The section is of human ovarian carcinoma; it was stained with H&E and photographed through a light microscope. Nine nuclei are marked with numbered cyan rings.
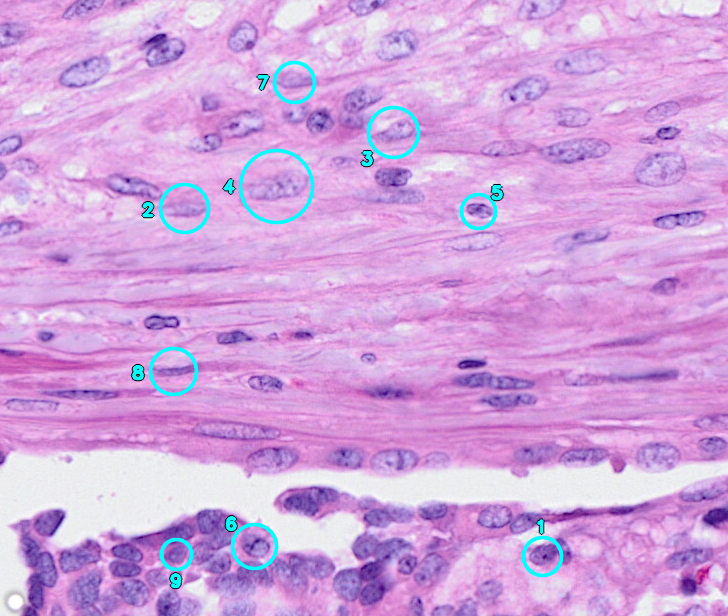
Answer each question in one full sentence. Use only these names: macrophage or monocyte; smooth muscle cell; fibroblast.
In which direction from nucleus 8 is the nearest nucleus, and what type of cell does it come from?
Lying above nucleus 8, the nearest nucleus is that of a macrophage or monocyte.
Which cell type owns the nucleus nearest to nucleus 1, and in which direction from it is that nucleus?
A macrophage or monocyte lies closest, to the right of nucleus 1.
